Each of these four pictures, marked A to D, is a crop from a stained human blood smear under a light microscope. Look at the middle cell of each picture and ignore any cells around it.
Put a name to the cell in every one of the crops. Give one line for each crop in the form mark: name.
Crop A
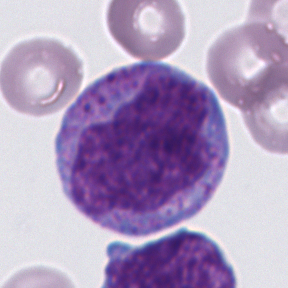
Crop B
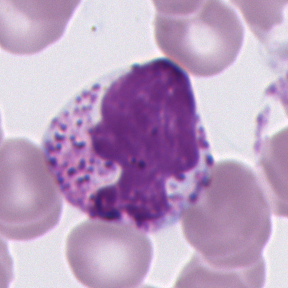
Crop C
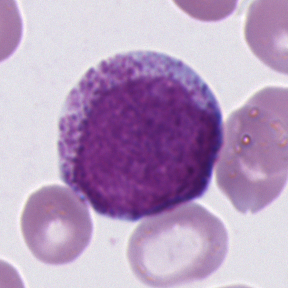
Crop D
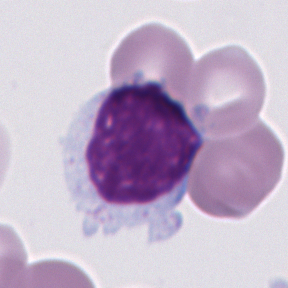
A: atypical promyelocyte
B: basophil
C: myelocyte
D: large granular lymphocyte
